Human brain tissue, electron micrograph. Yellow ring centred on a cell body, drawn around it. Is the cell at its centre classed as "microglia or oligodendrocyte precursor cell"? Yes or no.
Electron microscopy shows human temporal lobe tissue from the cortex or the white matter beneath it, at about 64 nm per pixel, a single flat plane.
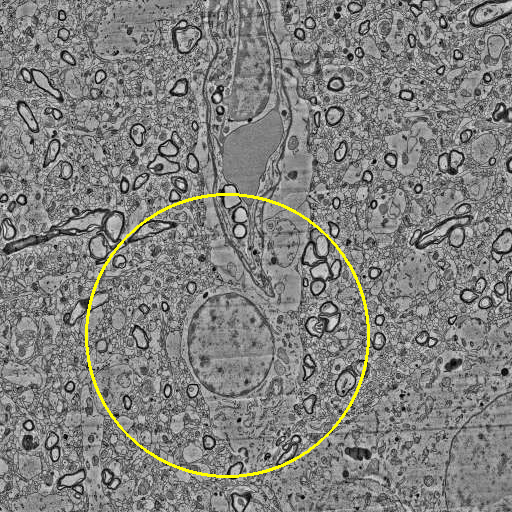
Yes, it is classed as that.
